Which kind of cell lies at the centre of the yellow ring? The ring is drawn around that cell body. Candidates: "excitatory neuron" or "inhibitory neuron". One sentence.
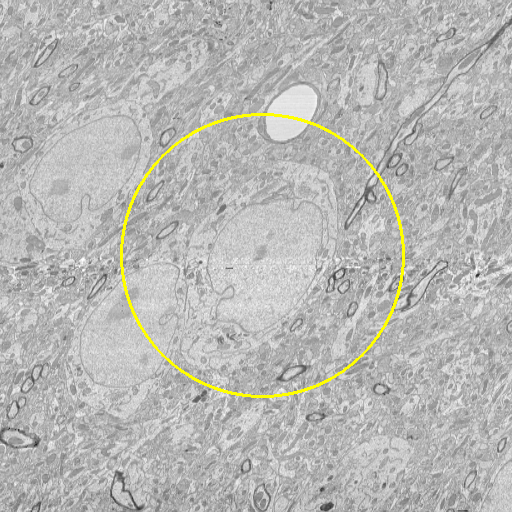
Lying at the centre of the ring is an inhibitory neuron.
